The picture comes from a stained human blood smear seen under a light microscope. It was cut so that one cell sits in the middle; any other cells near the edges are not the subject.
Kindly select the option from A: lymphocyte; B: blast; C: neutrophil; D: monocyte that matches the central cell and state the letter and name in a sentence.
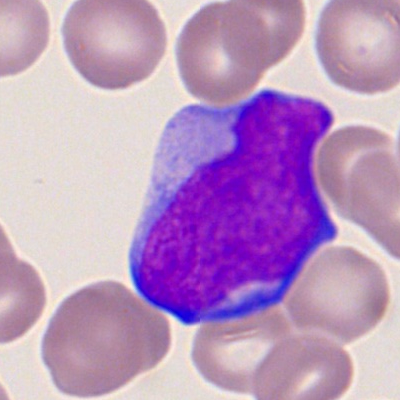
Here the central cell is a blast, and option B is correct.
